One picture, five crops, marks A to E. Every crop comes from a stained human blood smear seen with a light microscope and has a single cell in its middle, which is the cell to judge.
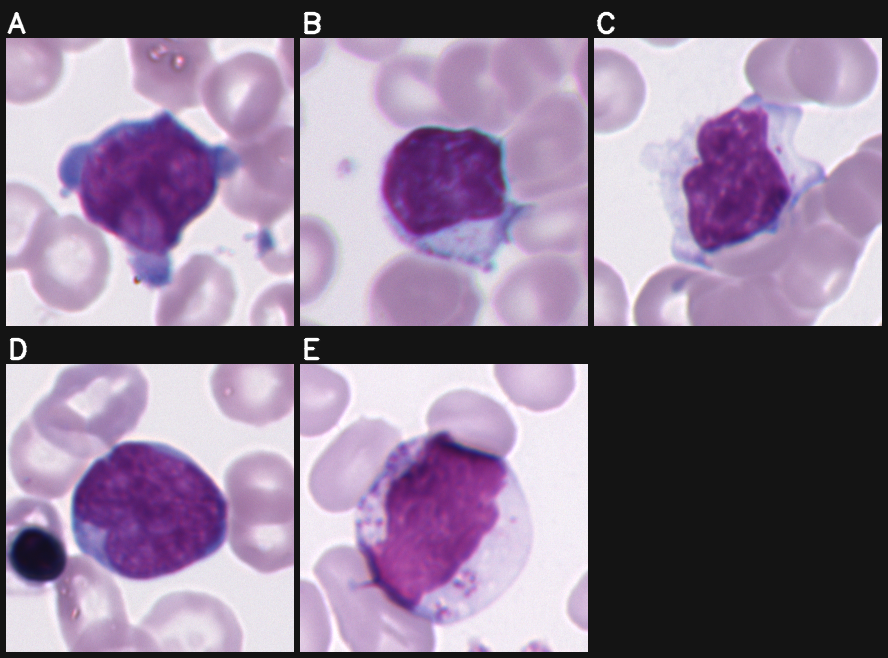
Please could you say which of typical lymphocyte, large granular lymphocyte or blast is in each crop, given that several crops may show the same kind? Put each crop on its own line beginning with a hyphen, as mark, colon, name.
- A: blast
- B: typical lymphocyte
- C: large granular lymphocyte
- D: blast
- E: large granular lymphocyte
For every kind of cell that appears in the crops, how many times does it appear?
blast: 2
large granular lymphocyte: 2
typical lymphocyte: 1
